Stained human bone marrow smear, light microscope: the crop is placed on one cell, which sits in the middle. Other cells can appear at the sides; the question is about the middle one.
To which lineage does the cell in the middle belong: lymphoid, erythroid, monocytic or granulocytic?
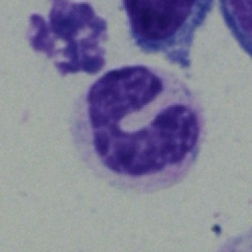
granulocytic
